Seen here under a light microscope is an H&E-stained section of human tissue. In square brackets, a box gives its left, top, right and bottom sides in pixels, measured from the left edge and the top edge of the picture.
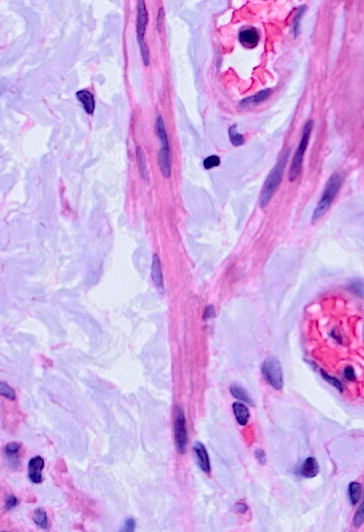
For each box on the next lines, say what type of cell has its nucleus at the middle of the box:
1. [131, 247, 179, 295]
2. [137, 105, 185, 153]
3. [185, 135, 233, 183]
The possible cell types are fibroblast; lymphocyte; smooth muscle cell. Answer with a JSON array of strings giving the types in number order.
["smooth muscle cell", "smooth muscle cell", "lymphocyte"]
